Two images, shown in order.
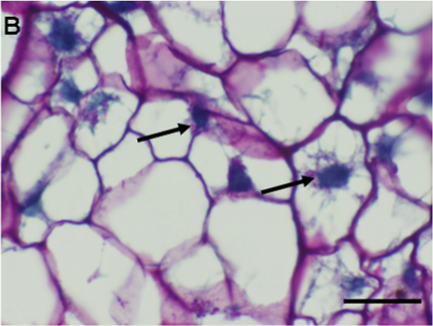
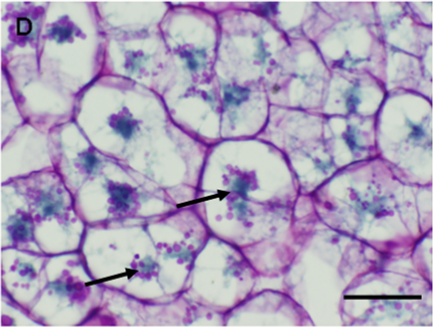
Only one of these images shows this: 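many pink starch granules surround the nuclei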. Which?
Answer: The second image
